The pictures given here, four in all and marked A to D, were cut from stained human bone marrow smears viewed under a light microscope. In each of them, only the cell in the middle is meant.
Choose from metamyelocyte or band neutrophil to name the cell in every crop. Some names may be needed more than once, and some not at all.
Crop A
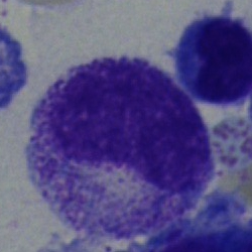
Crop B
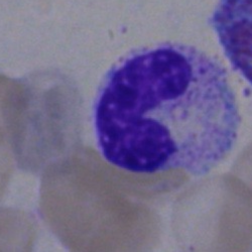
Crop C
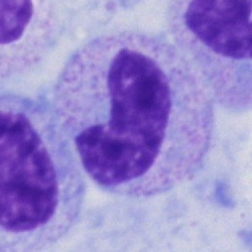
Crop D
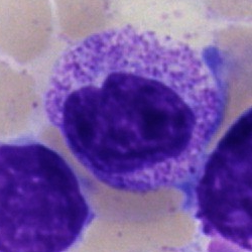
A: metamyelocyte
B: band neutrophil
C: band neutrophil
D: metamyelocyte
